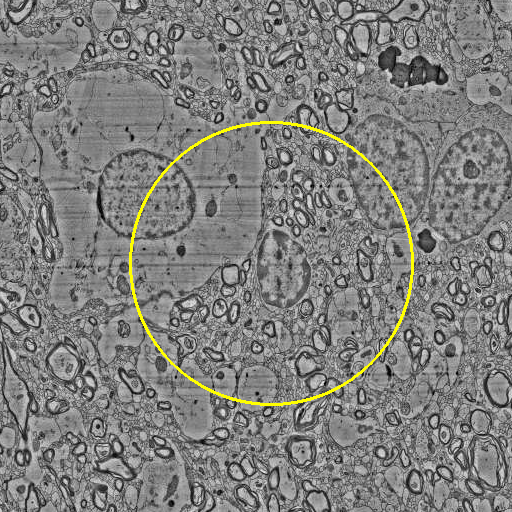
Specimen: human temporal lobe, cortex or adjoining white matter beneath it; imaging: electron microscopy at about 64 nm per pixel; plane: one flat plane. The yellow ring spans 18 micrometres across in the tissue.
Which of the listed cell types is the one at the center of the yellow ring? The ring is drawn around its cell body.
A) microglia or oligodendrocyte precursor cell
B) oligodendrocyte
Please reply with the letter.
A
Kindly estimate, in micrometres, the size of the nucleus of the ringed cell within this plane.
Roughly 5 micrometres by 3 micrometres, in this plane.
